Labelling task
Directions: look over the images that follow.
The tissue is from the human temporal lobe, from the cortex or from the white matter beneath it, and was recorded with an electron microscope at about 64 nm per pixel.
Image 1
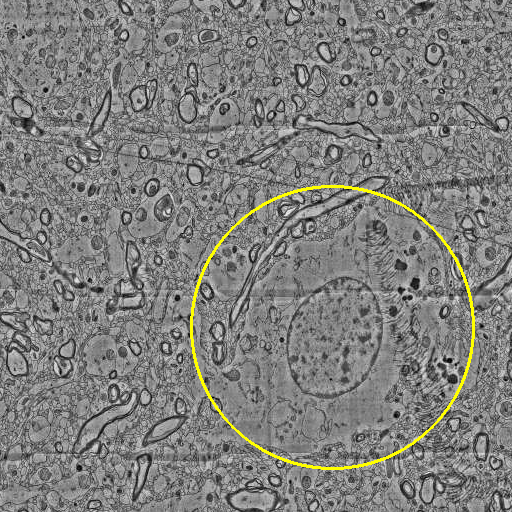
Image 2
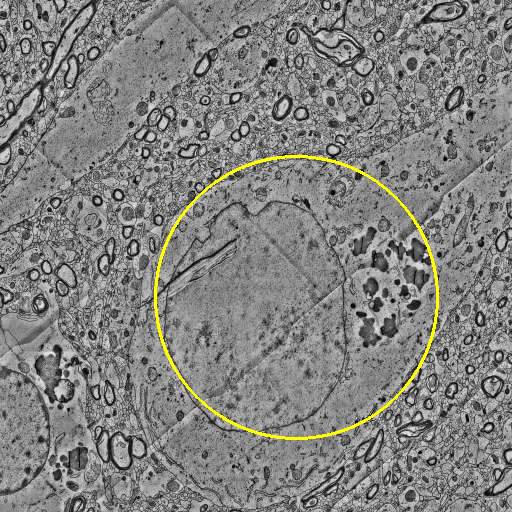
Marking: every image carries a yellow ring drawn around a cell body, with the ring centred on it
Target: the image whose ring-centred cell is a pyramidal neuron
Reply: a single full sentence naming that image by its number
The requested cell sits at the ring's centre in Image 2.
